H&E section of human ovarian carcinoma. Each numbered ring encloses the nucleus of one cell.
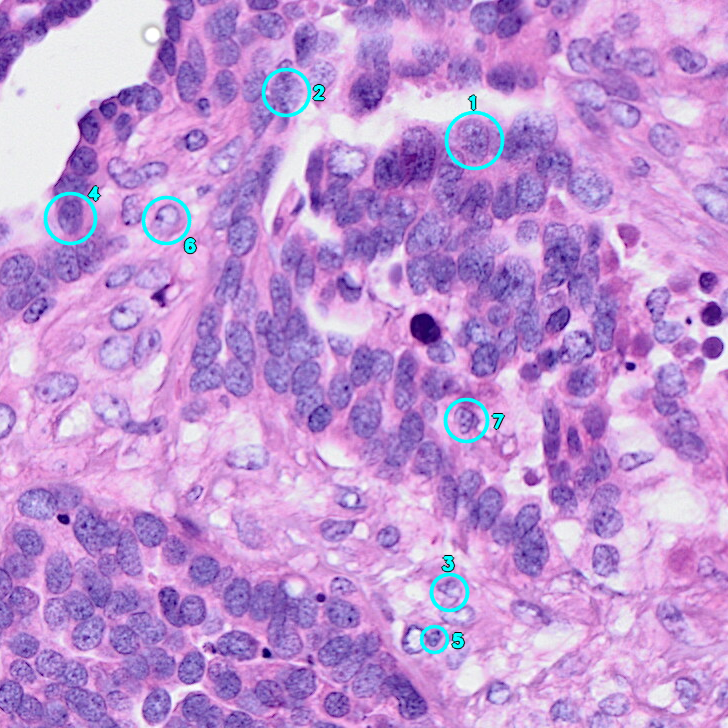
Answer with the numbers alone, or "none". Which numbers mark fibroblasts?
3, 5, 6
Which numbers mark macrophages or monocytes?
7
